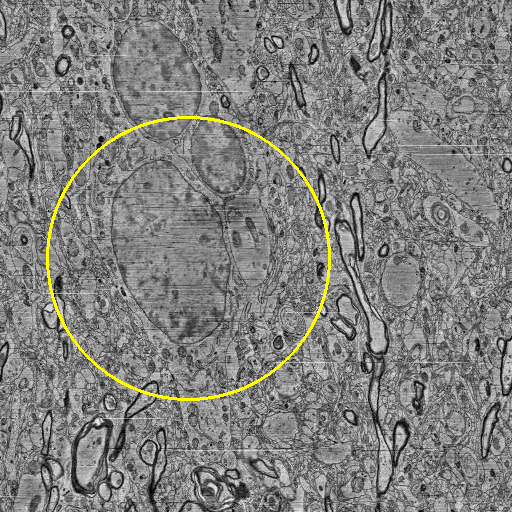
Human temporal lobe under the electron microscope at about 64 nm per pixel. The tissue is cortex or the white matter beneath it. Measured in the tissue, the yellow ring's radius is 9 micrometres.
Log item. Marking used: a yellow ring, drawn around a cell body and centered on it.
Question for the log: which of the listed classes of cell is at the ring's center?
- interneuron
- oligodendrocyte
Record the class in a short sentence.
At the center of the ring lies an interneuron.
